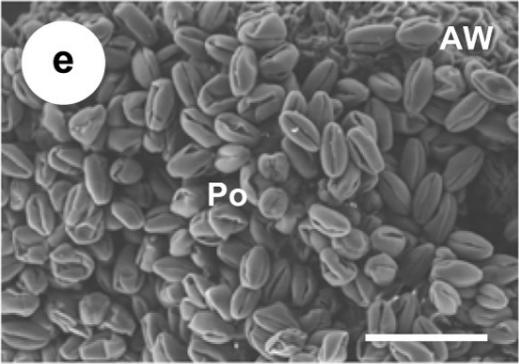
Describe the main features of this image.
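Scanning electron view of an anther densely covered by pollen grains that fill nearly the whole field. The grains are oval to elongated, many bearing a longitudinal furrow, and they are crowded together in several overlapping layers. Many grains appear partly collapsed, with sunken, folded or pinched surfaces and irregular outlines, while others remain plump and smoothly ellipsoid. The anther wall appears at the upper right edge as a surface of small, closely set cells.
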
